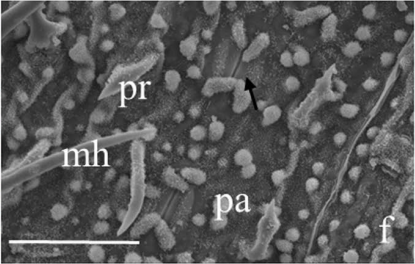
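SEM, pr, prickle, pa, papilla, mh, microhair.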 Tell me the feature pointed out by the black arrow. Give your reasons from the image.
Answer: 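The arrow points to an opening partly hidden among rounded surface protrusions.
Stomata.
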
